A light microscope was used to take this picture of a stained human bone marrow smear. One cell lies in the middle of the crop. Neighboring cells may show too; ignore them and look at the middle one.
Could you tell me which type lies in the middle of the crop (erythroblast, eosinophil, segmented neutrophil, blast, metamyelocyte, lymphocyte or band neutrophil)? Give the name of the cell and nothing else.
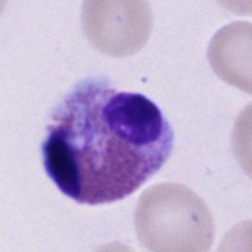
eosinophil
